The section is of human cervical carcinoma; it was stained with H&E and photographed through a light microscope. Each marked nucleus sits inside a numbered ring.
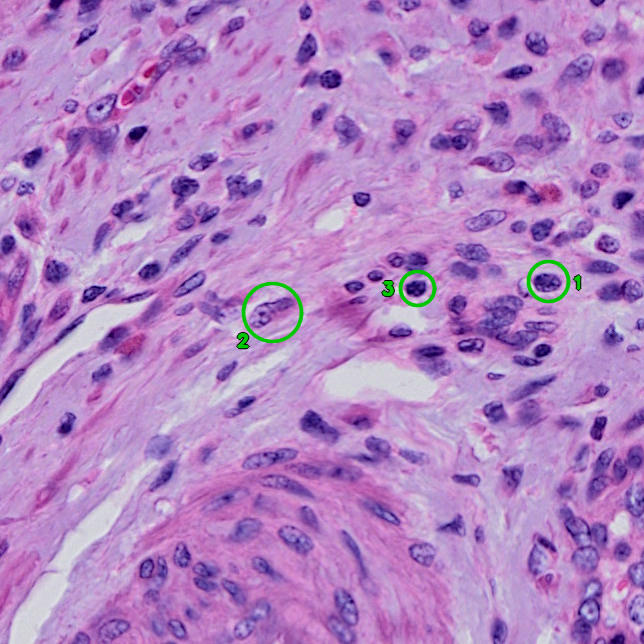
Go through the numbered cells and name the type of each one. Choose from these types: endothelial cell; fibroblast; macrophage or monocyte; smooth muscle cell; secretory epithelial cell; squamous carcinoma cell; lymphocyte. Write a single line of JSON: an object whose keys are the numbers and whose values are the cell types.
{"1": "lymphocyte", "2": "macrophage or monocyte", "3": "lymphocyte"}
